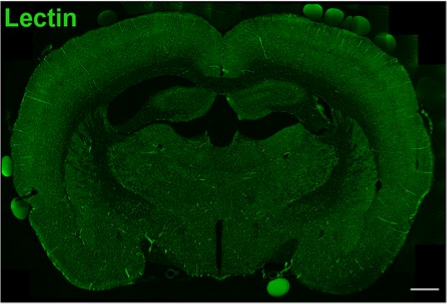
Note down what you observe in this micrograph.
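This is a whole coronal section of a brain, with green marking its blood vessels. Both hemispheres are shown with an outer cortical band, the ventricles and the deeper structures below. Rounded bright green blobs lie at the edges of the section, outside the brain tissue.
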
